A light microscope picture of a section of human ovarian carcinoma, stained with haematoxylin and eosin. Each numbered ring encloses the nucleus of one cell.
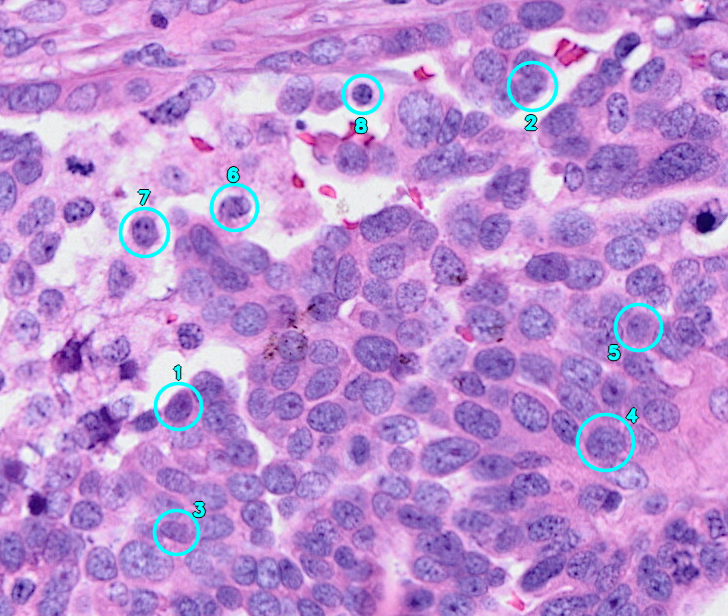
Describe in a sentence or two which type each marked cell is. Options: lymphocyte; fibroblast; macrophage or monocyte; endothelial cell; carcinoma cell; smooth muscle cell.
Cell 1 is a carcinoma cell, cell 2 is a carcinoma cell, cell 3 is a carcinoma cell, cell 4 is a carcinoma cell, cell 5 is a carcinoma cell, cell 6 is a macrophage or monocyte, cell 7 is a macrophage or monocyte and cell 8 is a lymphocyte.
